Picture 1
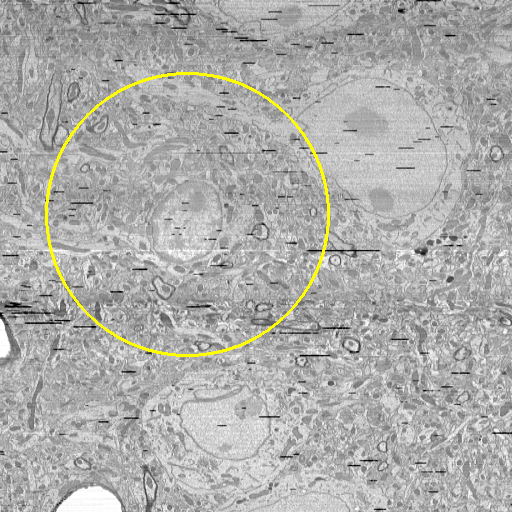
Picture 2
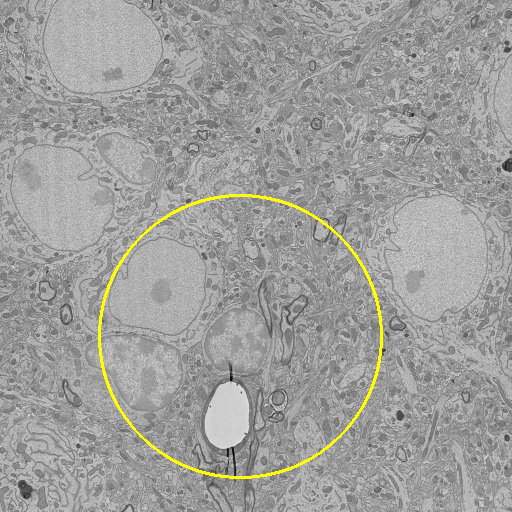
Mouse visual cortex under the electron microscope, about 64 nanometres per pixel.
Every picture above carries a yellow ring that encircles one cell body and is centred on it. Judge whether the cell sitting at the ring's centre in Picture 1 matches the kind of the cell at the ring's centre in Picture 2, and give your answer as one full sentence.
Yes, the cells centred in the rings of Pictures 1 and 2 belong to one kind.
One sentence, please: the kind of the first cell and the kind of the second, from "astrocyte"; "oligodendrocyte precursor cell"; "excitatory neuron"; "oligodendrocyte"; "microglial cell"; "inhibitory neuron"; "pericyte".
Both the first and the second picture show an oligodendrocyte in the ring.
